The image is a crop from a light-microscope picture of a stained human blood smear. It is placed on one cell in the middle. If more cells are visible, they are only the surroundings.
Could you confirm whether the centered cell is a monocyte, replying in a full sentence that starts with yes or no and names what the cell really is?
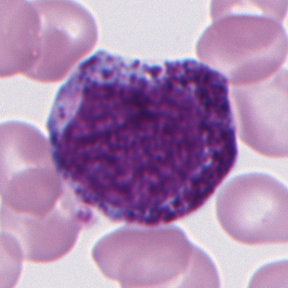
No, rather than a monocyte, the central cell is a promyelocyte.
